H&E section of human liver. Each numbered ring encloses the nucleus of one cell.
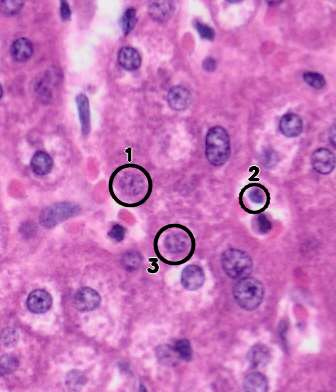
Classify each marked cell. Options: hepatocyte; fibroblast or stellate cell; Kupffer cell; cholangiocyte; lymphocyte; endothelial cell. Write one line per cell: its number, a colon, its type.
1: hepatocyte
2: lymphocyte
3: hepatocyte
